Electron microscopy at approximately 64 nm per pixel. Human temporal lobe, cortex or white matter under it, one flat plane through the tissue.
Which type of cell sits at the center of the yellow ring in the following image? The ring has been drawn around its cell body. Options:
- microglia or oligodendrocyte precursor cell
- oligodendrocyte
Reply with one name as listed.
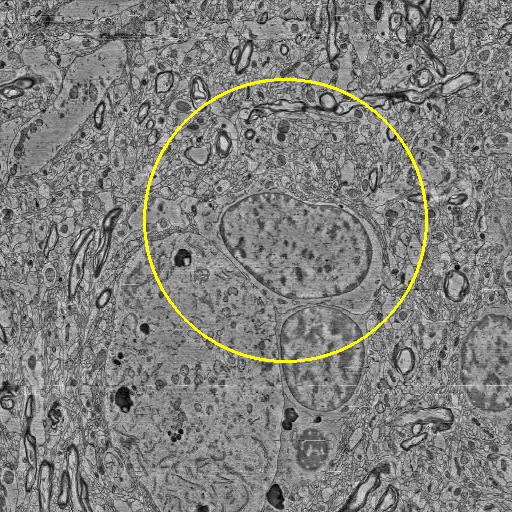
microglia or oligodendrocyte precursor cell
